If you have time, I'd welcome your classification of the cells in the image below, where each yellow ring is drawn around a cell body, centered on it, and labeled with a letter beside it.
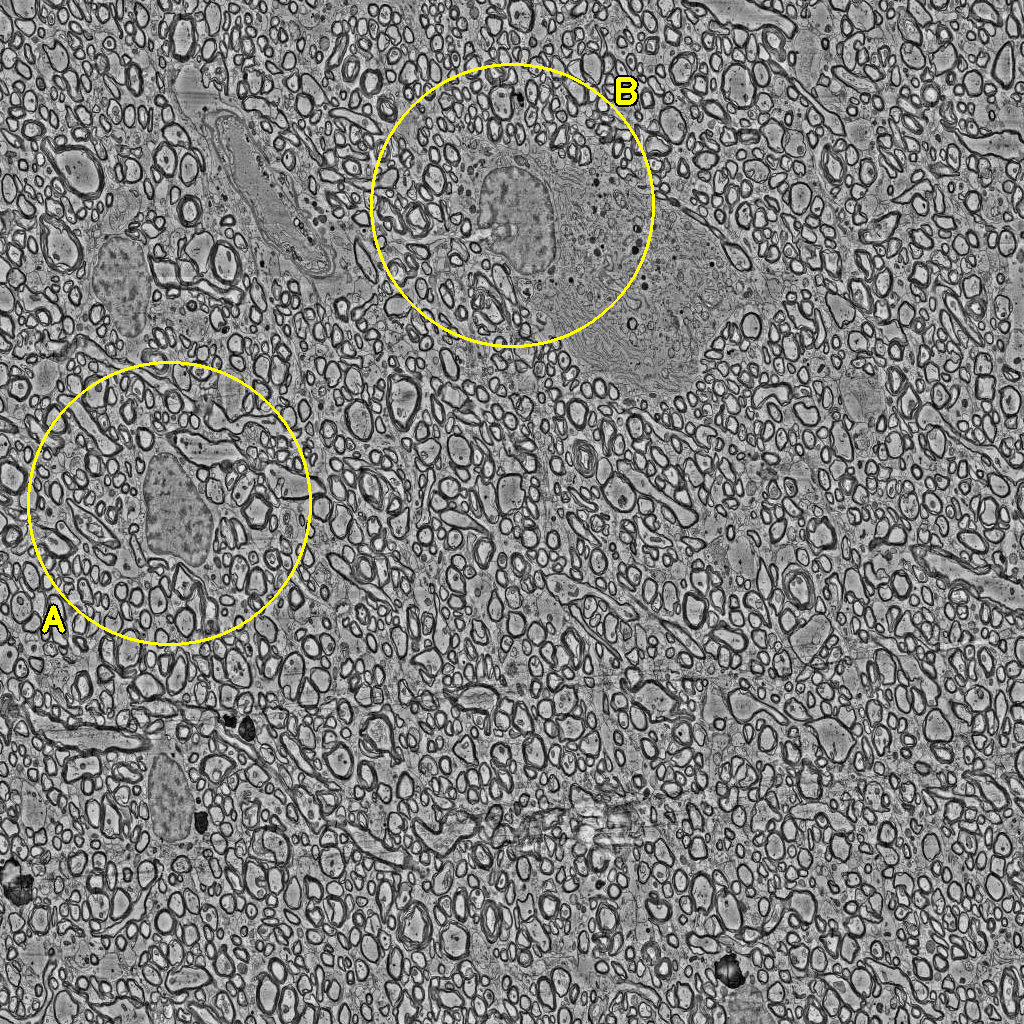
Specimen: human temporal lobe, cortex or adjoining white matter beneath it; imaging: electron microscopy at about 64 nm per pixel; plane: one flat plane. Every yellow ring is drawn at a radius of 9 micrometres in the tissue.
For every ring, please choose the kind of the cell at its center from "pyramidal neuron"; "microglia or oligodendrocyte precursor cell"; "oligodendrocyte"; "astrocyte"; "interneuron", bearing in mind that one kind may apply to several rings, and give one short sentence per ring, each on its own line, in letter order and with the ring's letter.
At the center of ring A is an oligodendrocyte.
At the center of ring B is an oligodendrocyte.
